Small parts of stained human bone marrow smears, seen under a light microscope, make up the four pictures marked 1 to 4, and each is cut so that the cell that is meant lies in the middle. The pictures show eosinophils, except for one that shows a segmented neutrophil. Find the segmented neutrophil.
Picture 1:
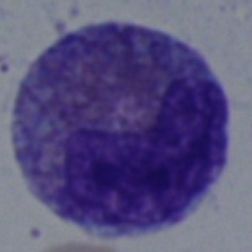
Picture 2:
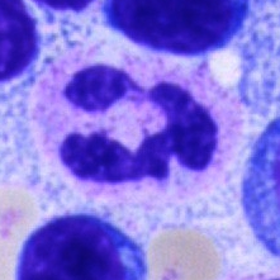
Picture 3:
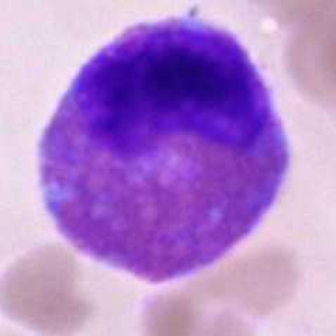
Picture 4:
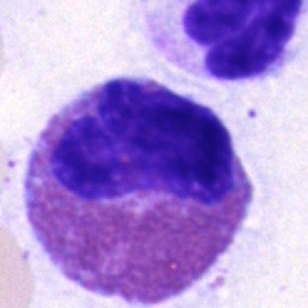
2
